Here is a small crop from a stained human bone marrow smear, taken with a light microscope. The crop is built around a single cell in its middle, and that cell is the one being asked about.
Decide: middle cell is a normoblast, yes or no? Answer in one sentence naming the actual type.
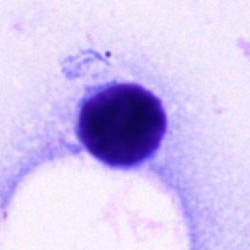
No, the centre cell is not a normoblast but a lymphocyte.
